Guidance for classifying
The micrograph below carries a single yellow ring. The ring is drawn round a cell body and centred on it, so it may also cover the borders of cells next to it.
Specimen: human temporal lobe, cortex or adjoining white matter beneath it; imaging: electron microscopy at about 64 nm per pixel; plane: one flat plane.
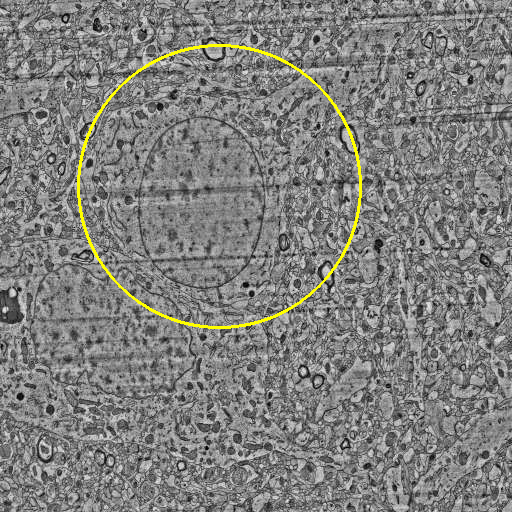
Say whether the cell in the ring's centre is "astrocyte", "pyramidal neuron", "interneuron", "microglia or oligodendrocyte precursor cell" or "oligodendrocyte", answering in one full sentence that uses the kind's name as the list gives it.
Within the yellow ring, a pyramidal neuron is the cell whose body sits at the centre.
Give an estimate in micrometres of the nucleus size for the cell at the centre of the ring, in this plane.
The nucleus of the ringed cell is approximately 11 by 8 micrometres in this plane.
